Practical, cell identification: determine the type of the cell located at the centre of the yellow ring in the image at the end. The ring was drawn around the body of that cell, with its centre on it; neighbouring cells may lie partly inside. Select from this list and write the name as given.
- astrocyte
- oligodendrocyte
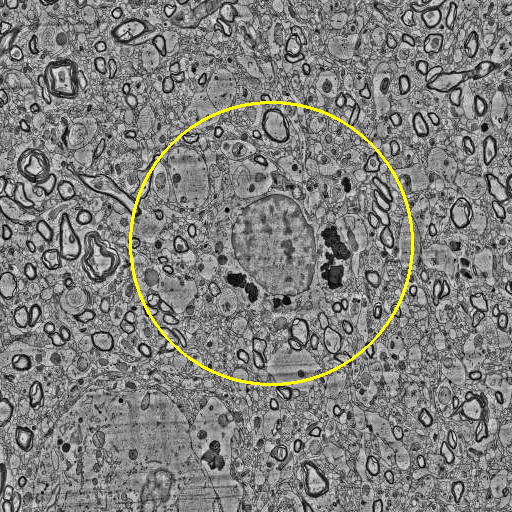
oligodendrocyte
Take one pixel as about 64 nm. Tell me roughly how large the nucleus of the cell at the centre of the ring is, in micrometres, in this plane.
The nucleus measures about 7 by 5 micrometres in this plane.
